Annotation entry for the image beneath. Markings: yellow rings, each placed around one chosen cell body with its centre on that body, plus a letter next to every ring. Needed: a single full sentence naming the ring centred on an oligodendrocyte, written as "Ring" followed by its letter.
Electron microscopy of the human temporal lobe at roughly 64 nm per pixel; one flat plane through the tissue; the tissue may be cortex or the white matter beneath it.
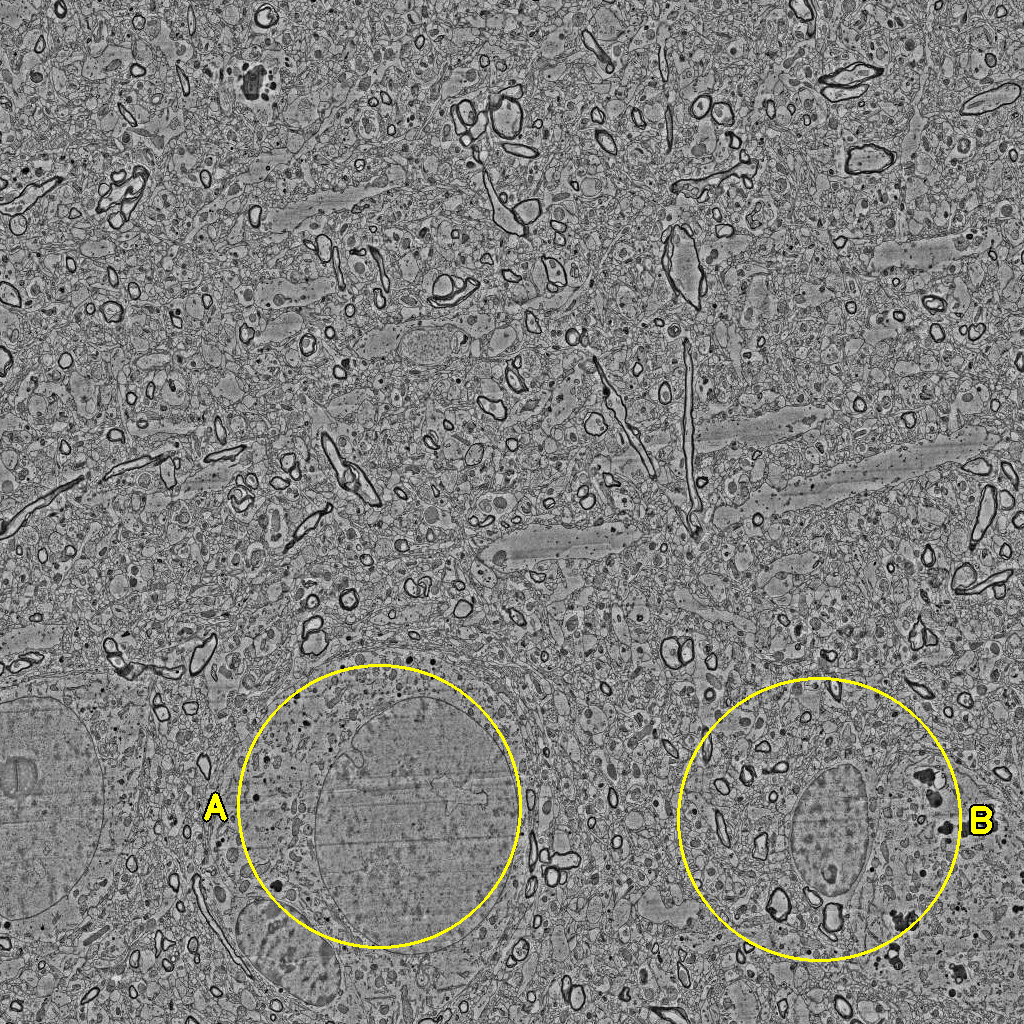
The image shows the cell in question at the centre of Ring B.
